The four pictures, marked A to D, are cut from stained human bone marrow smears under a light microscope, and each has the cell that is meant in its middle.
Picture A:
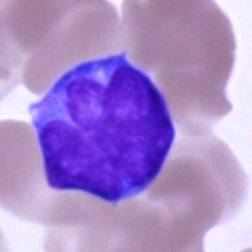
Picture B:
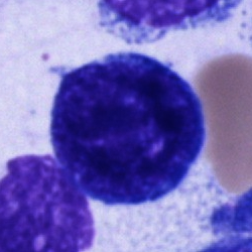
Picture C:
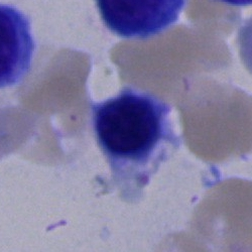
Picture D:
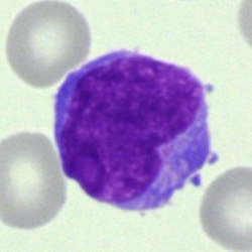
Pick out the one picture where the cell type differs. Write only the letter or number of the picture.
C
